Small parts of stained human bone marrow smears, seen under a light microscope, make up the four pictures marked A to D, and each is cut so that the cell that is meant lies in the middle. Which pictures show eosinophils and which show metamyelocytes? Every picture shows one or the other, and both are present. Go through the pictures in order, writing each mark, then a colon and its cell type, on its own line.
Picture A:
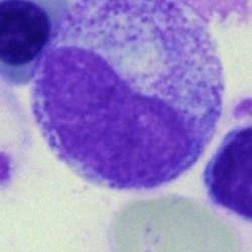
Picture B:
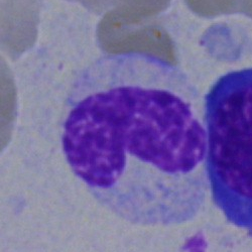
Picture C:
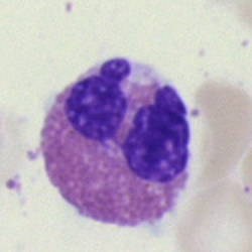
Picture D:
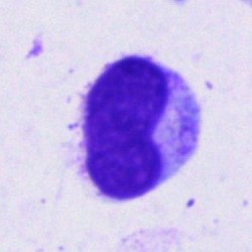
A: metamyelocyte
B: metamyelocyte
C: eosinophil
D: metamyelocyte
